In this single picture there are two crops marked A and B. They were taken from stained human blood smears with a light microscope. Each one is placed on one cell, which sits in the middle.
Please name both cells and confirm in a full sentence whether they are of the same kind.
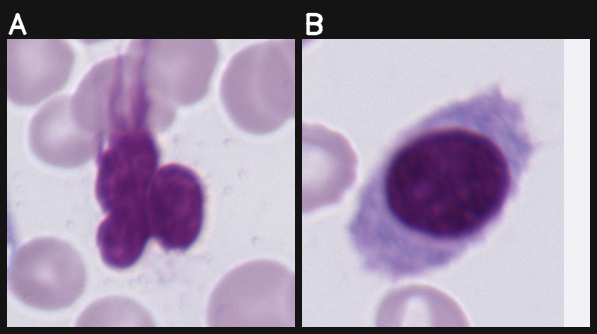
No, crop A shows a smudge cell, whereas a hairy cell is what crop B shows.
